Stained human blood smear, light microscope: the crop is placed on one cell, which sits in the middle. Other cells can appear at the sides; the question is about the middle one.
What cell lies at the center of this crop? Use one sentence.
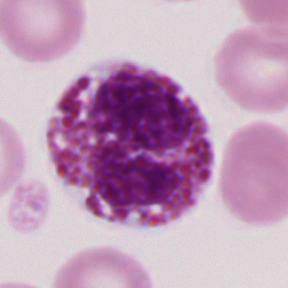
Answering briefly, the cell in the middle is an eosinophil.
